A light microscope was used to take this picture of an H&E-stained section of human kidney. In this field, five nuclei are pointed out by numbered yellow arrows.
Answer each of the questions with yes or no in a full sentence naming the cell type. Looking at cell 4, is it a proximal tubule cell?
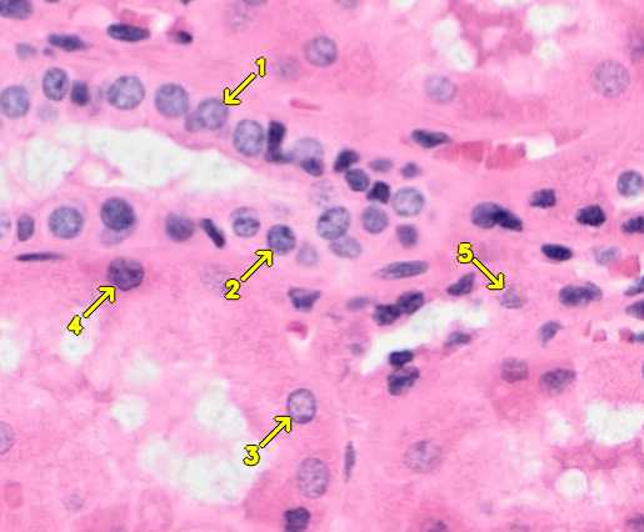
Yes, with respect to number 4, the cell is a proximal tubule cell.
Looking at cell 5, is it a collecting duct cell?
No, cell 5 is a loop of Henle or distal tubule cell and should not be called a collecting duct cell.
